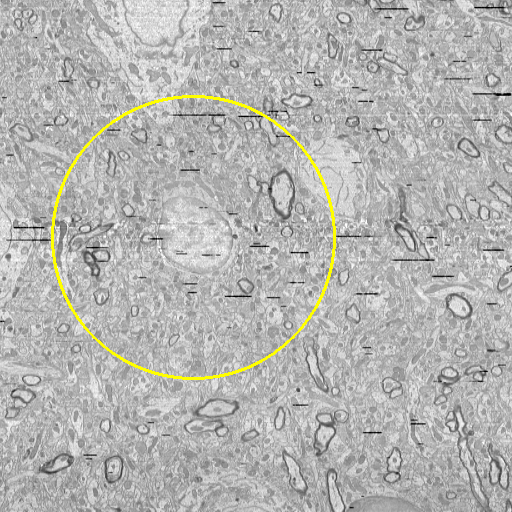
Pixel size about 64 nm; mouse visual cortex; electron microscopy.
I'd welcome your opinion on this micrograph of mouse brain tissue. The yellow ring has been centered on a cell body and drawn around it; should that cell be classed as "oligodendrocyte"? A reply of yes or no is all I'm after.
yes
